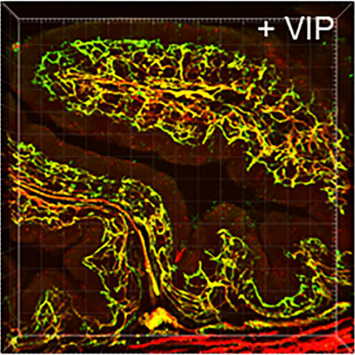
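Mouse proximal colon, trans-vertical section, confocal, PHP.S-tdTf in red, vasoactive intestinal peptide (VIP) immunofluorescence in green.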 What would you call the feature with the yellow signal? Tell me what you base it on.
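Long thin yellow strands run in parallel bundles. Bundles spread into finely branched networks. The answer: nerve fibers.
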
